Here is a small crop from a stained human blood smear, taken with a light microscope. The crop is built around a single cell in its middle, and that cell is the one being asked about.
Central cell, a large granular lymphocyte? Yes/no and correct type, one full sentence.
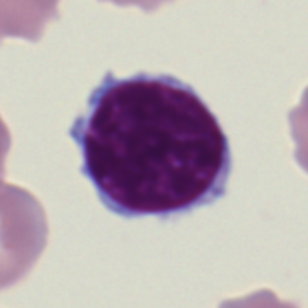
No, the cell placed at the center is a typical lymphocyte rather than a large granular lymphocyte.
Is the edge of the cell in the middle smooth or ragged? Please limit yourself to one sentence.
Irregular and not smooth, the cell boundary is ragged or drawn out into projections.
